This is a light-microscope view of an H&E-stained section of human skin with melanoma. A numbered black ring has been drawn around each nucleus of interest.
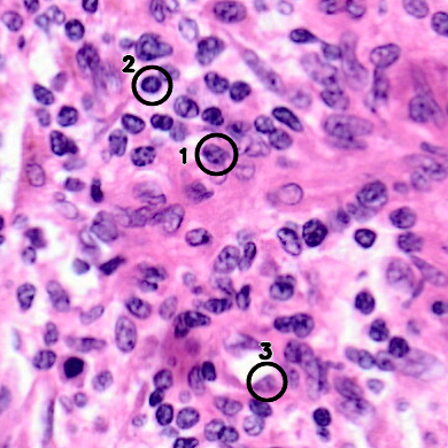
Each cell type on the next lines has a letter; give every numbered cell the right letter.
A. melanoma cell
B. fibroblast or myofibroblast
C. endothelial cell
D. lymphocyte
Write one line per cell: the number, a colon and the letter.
1: D
2: D
3: C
